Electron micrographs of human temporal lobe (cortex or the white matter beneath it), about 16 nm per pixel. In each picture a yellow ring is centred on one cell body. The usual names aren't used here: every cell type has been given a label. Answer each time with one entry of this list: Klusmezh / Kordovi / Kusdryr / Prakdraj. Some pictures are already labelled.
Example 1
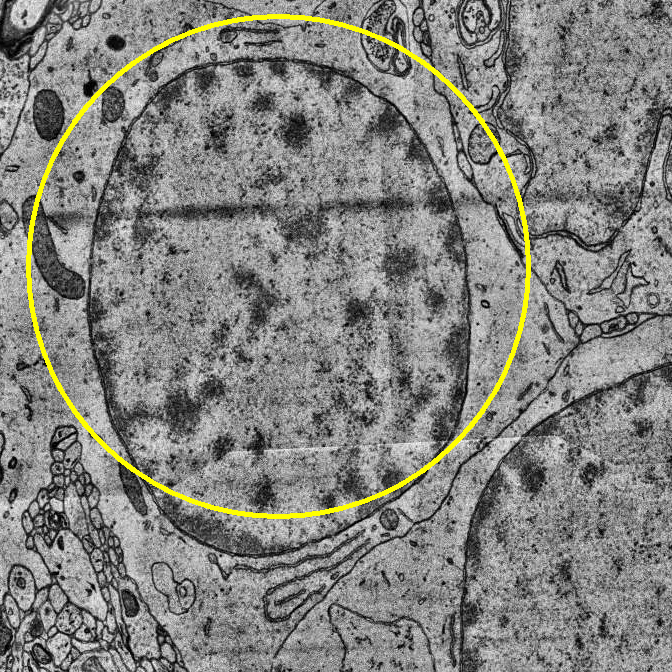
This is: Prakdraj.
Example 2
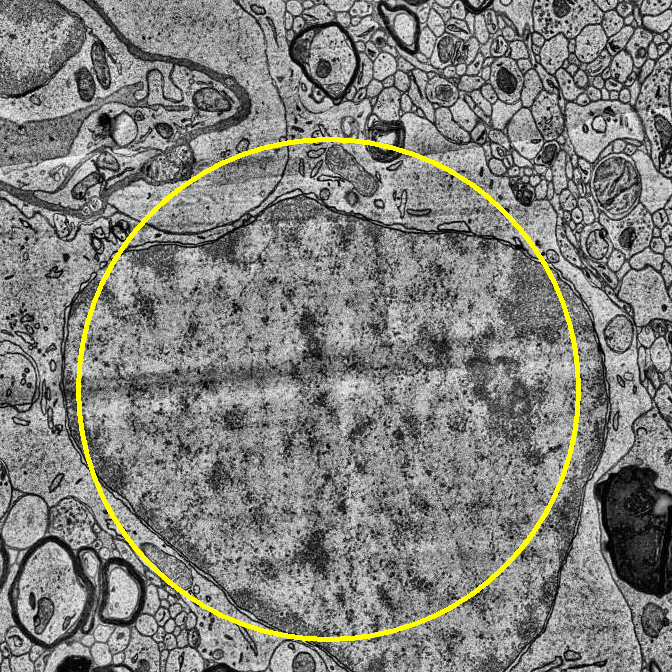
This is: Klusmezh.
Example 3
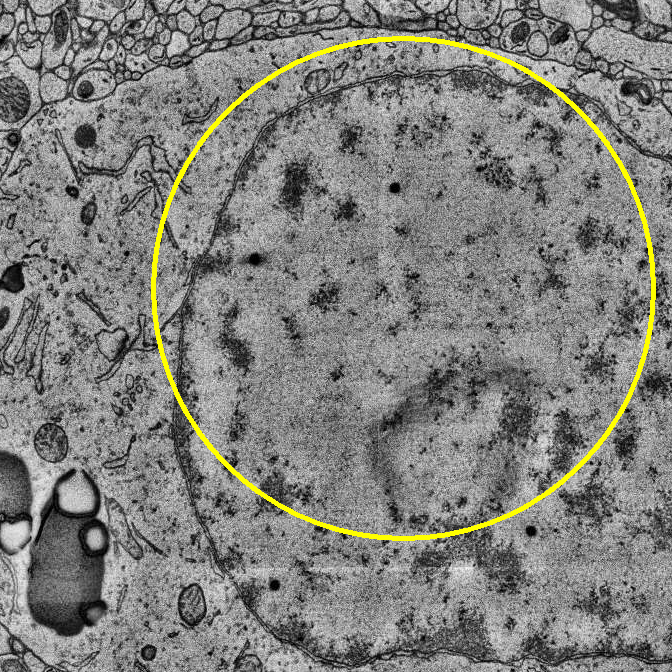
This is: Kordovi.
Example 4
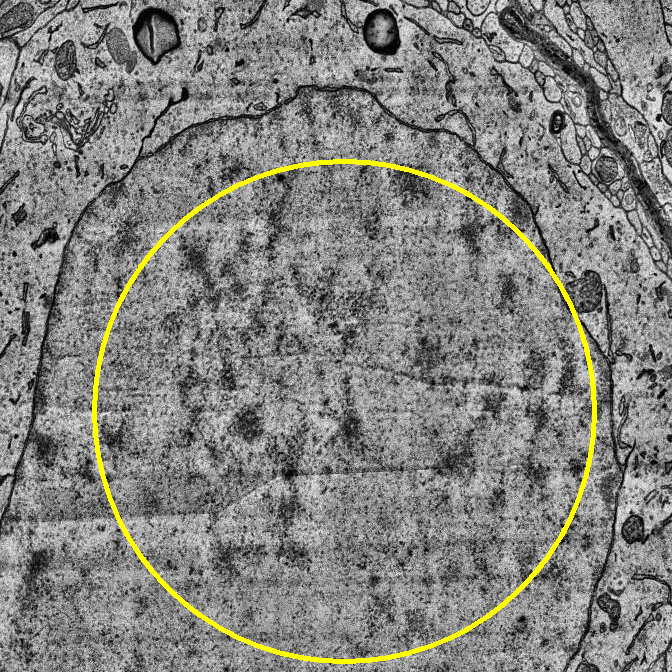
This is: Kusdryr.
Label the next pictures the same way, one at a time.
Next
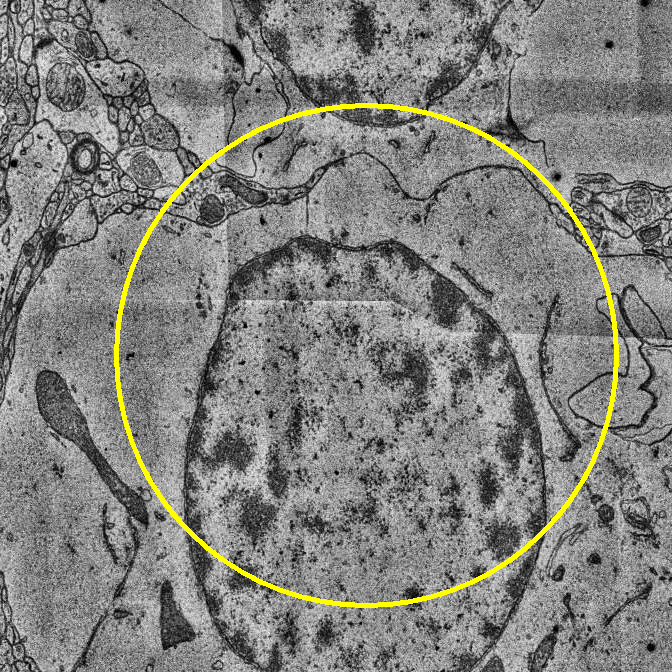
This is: Prakdraj.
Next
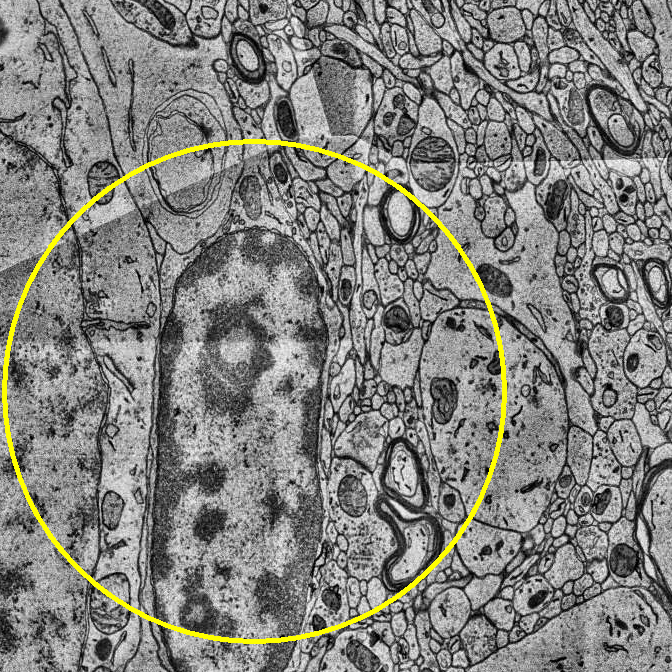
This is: Klusmezh.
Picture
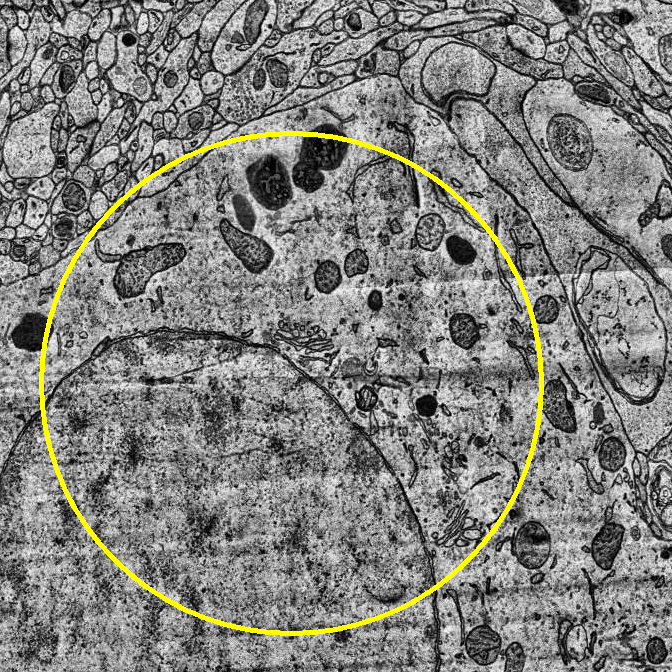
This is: Kusdryr.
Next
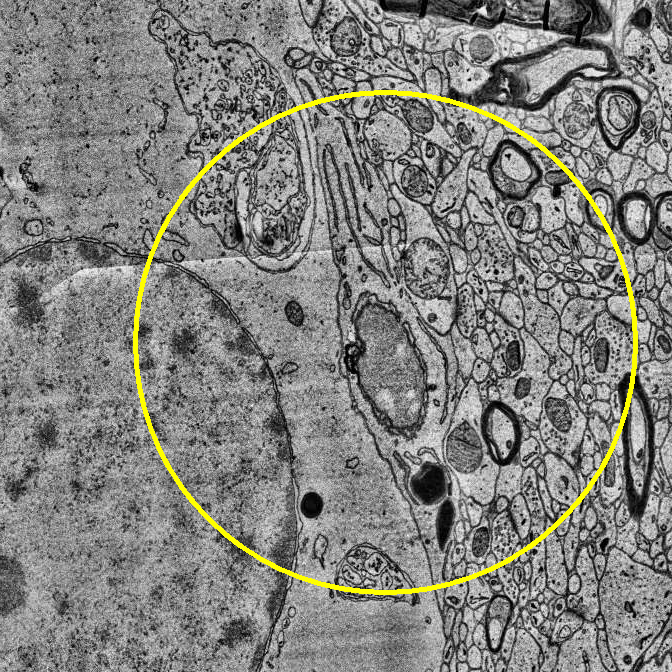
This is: Klusmezh.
